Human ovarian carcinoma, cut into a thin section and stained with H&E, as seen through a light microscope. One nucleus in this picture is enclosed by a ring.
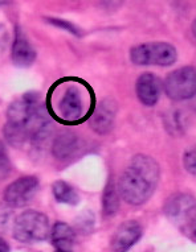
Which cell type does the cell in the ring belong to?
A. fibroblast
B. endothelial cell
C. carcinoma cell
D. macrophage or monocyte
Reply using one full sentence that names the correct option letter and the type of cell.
Among the choices, option D is correct, the cell in the ring being a macrophage or monocyte.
